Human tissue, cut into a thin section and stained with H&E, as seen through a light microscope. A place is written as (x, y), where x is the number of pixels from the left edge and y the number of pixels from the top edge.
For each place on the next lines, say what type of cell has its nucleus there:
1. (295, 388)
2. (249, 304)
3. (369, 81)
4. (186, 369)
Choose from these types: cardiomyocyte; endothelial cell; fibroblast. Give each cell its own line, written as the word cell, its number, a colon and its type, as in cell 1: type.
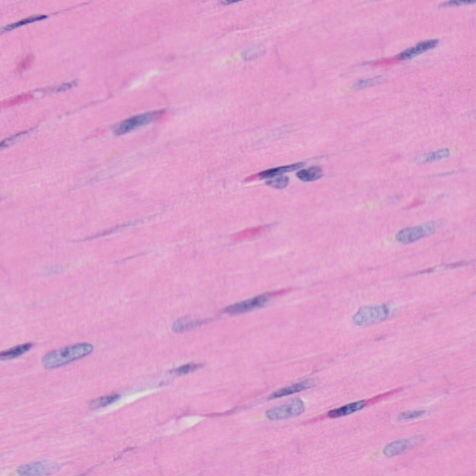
cell 1: endothelial cell
cell 2: endothelial cell
cell 3: cardiomyocyte
cell 4: endothelial cell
